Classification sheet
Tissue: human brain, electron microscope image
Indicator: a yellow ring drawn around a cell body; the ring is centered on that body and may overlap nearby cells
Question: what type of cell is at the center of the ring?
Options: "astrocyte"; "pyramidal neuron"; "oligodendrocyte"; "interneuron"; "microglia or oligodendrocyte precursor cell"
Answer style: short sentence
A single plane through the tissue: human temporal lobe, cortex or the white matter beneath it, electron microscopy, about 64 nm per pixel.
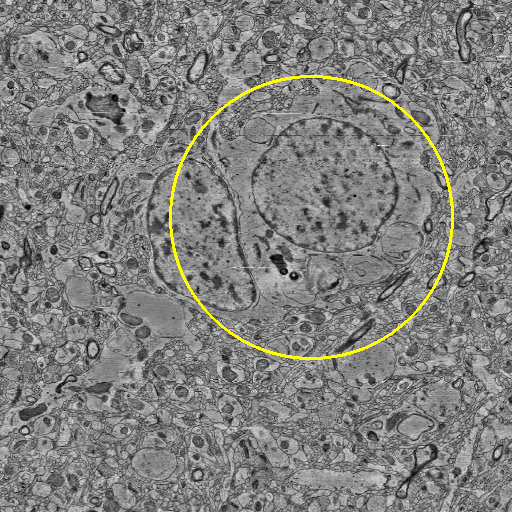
At the ring's center is an astrocyte.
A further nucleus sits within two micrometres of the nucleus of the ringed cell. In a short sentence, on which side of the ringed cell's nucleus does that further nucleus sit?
That nucleus lies to the left of it.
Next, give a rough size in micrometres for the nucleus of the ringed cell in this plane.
In this plane the nucleus measures roughly 9 micrometres across.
